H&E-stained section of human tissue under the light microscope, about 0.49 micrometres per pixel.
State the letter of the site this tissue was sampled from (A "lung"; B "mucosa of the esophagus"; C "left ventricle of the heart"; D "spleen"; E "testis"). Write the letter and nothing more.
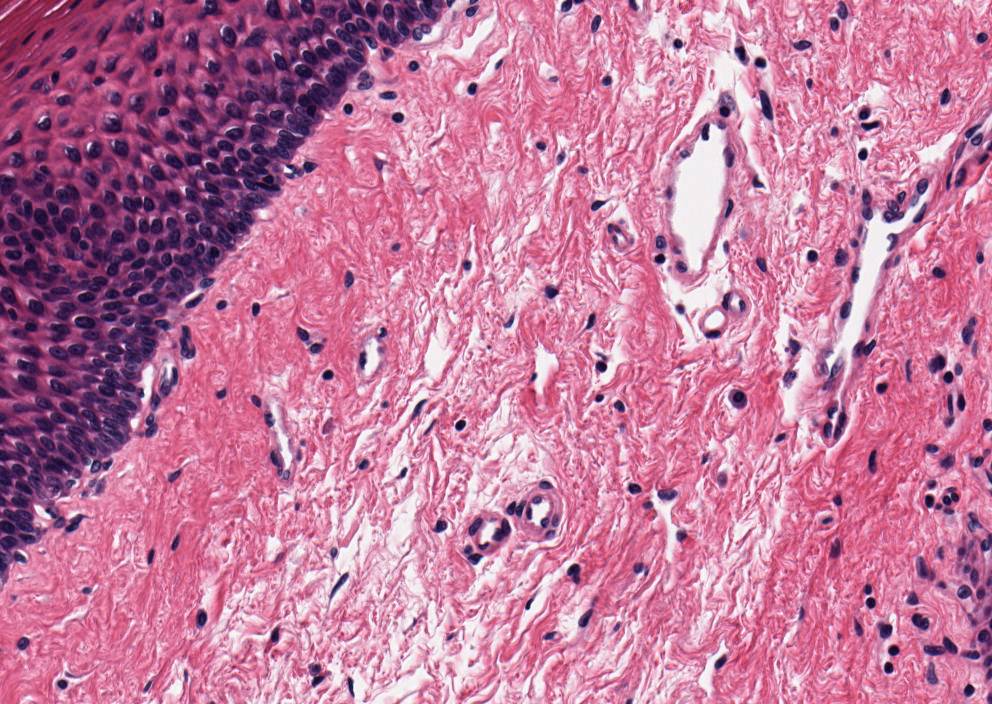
B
